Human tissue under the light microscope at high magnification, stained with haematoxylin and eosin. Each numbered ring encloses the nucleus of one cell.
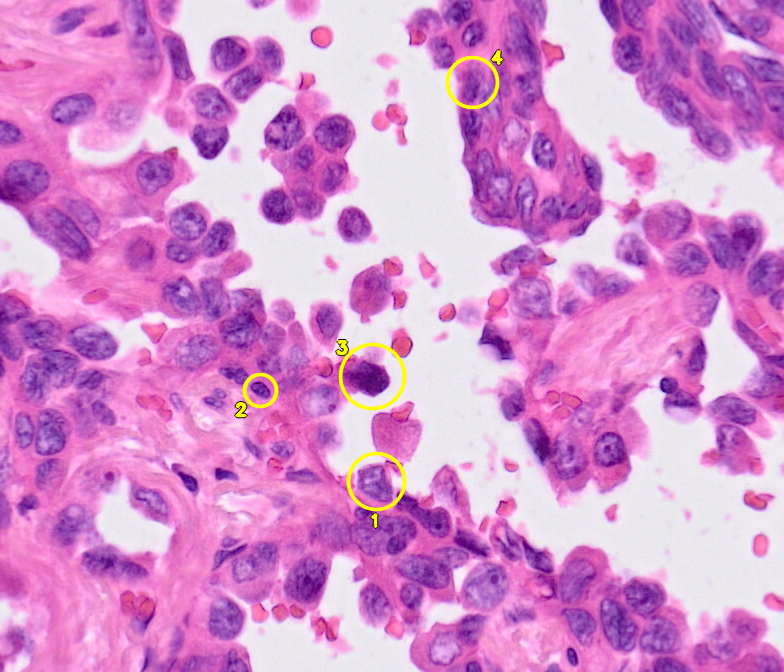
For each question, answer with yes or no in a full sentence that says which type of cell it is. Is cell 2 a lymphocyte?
Yes, the cell indicated by number 2 is a lymphocyte.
